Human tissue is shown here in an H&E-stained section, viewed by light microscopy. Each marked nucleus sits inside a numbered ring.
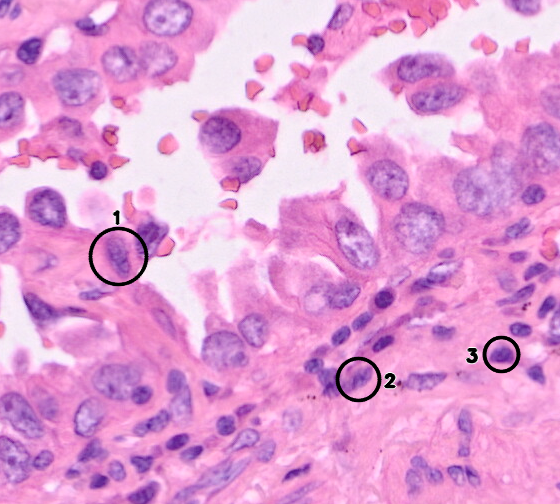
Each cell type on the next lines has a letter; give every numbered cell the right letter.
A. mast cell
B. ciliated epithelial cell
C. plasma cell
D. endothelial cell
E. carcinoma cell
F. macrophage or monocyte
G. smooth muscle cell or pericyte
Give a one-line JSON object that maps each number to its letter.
{"1": "E", "2": "C", "3": "C"}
